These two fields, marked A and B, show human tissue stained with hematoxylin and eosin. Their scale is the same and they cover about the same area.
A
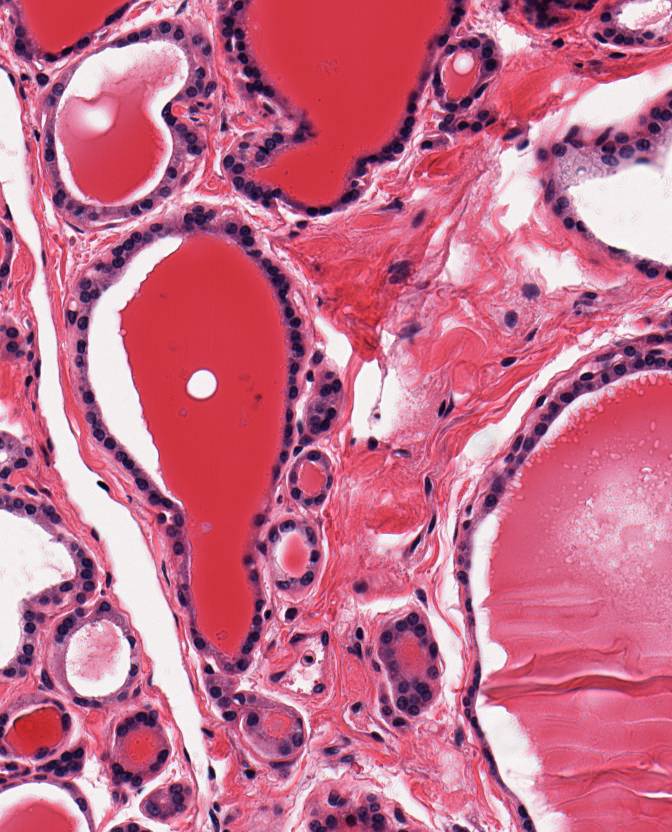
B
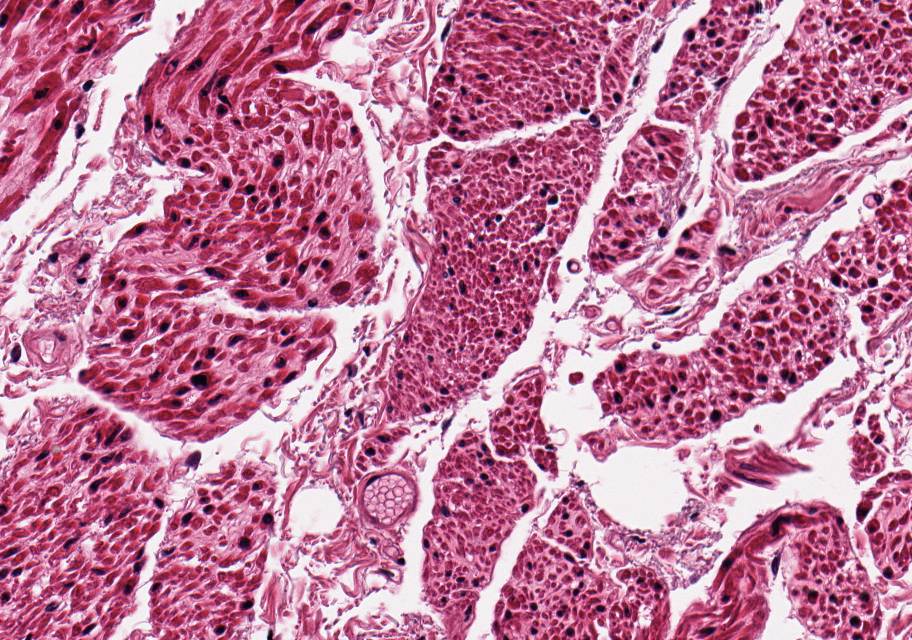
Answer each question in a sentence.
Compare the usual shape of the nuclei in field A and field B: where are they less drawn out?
It is field B whose nuclei are the rounder.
